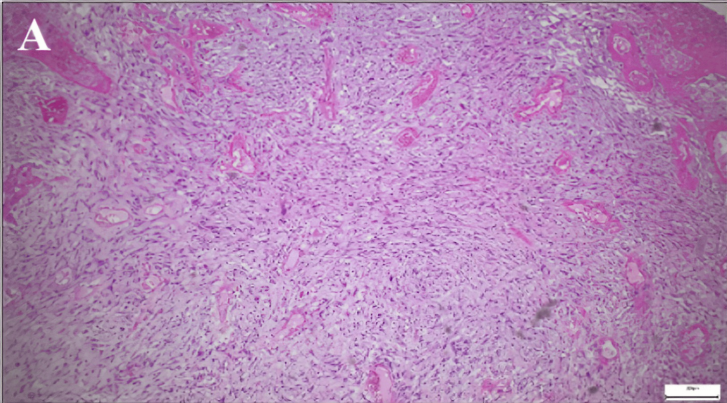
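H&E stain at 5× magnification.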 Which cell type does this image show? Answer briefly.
Spindle cells.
